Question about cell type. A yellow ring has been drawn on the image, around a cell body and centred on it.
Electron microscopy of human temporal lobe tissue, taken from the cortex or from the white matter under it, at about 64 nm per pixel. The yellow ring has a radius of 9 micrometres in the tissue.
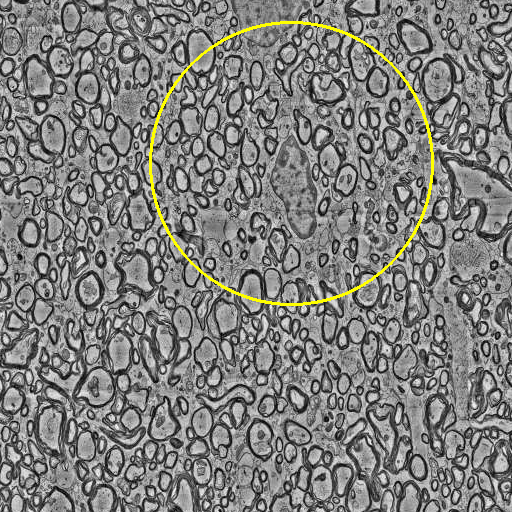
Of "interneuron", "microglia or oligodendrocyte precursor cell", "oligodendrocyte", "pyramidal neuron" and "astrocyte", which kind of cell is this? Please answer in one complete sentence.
At the centre of the ring lies a microglial cell or oligodendrocyte precursor cell.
